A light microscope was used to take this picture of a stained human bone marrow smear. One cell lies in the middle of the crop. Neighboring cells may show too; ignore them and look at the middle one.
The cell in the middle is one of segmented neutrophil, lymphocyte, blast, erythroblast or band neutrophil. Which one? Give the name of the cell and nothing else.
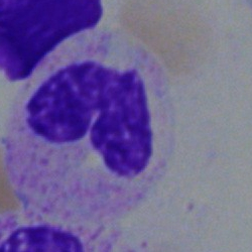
segmented neutrophil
